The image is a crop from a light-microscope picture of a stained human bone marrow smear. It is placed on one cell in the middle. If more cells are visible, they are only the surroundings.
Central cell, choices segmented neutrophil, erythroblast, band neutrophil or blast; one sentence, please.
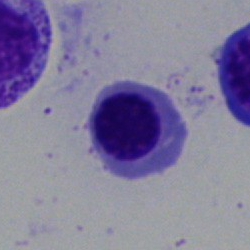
Regarding the central cell, it is an erythroblast.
